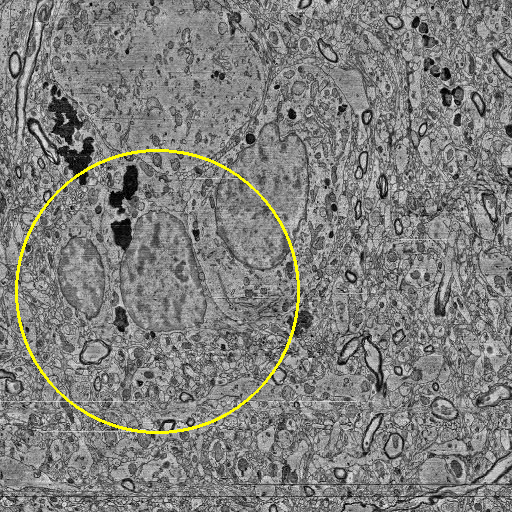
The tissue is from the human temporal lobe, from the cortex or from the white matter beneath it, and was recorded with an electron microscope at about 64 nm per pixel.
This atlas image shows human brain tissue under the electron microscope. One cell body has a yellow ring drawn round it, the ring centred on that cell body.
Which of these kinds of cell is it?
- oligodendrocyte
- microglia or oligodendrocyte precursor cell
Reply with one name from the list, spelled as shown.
oligodendrocyte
